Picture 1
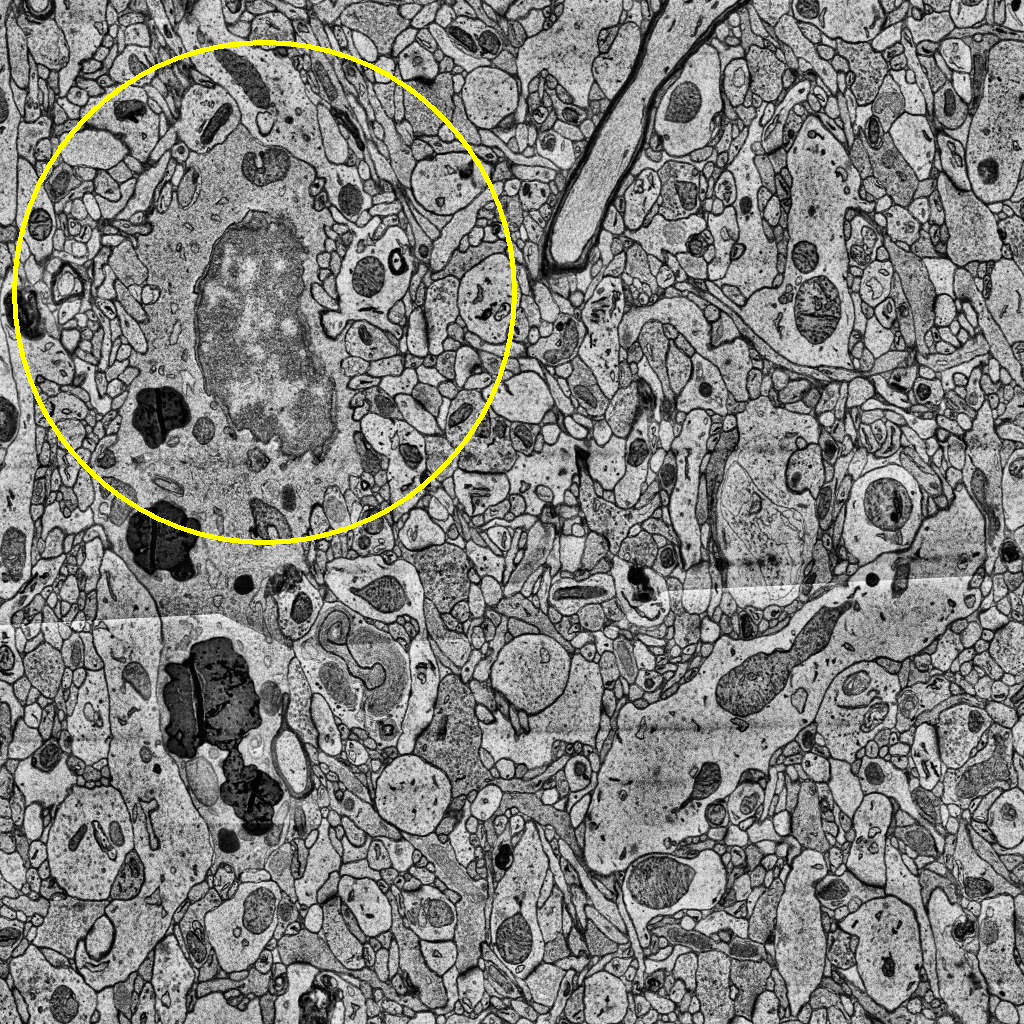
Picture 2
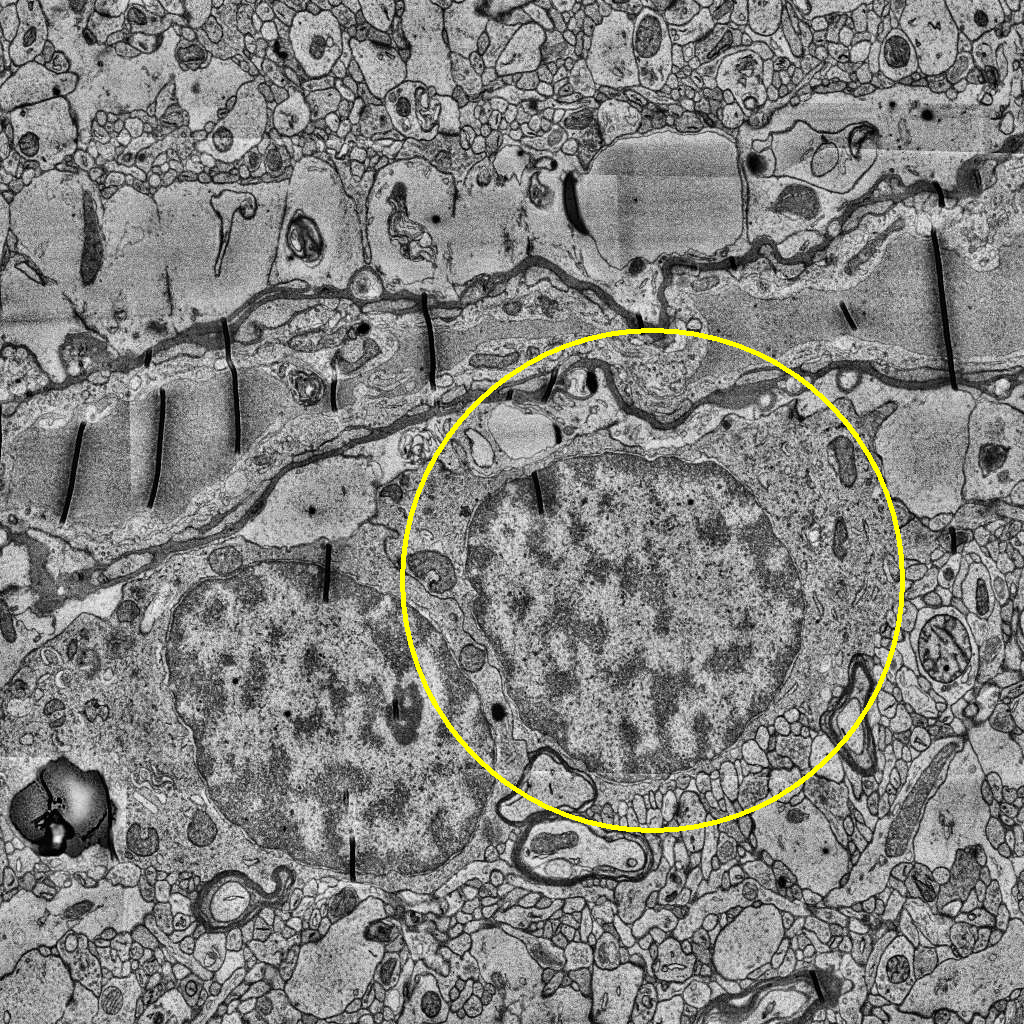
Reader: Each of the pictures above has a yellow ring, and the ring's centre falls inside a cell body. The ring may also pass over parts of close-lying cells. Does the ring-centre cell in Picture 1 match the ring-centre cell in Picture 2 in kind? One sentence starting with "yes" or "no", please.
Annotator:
Yes, Picture 1 and Picture 2 show ring-centre cells of a single kind.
